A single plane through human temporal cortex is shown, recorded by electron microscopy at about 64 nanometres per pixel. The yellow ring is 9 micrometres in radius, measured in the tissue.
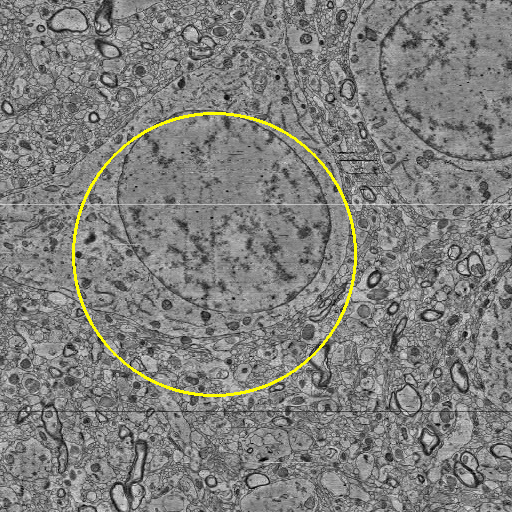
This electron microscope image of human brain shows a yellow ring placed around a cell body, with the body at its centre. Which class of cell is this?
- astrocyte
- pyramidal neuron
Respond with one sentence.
The cell body at the ring's centre is a pyramidal neuron.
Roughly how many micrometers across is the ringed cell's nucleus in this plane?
The nucleus comes to roughly 14 micrometres across in this plane.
